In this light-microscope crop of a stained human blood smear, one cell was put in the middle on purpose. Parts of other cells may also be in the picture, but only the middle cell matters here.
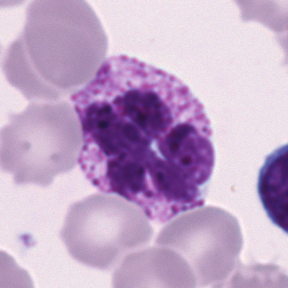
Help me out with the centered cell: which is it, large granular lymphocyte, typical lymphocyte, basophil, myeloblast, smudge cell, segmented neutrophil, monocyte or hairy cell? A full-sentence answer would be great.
The central cell, amid any neighbouring cells, is a basophil.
